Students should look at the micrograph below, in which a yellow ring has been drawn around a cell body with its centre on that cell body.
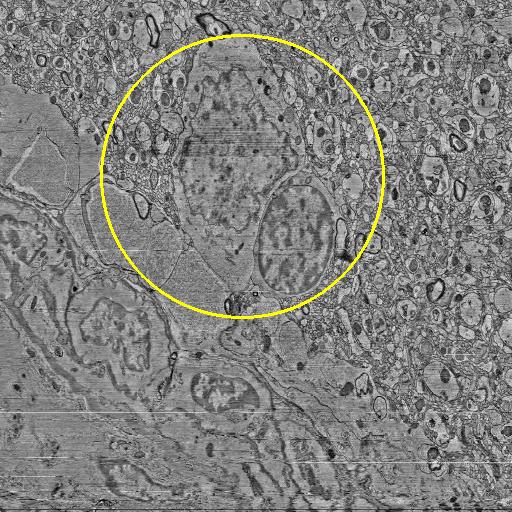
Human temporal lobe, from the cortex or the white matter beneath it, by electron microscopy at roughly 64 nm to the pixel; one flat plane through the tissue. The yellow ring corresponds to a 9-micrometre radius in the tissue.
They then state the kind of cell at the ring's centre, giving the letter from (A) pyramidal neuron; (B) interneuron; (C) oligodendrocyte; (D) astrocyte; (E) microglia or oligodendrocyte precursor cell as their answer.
B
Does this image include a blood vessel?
Yes, one appears.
